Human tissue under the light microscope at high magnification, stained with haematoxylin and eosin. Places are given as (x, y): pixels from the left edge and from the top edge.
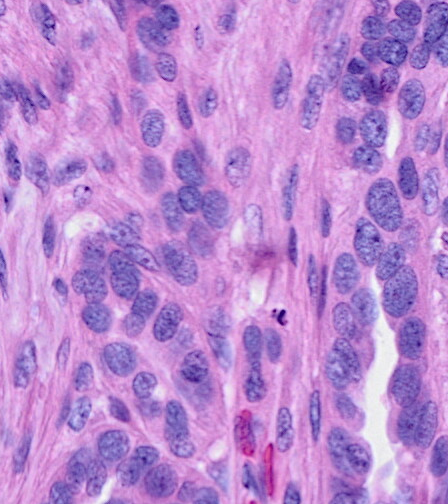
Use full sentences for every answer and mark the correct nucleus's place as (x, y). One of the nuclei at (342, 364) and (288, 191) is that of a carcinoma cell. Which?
Among the two, the nucleus at (342, 364) is the nucleus of a carcinoma cell.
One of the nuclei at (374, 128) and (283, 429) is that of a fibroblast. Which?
The nucleus of the pair that lies within a fibroblast is at (283, 429).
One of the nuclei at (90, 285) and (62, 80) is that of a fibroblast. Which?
The correct choice is the nucleus at (62, 80), which belongs to a fibroblast.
